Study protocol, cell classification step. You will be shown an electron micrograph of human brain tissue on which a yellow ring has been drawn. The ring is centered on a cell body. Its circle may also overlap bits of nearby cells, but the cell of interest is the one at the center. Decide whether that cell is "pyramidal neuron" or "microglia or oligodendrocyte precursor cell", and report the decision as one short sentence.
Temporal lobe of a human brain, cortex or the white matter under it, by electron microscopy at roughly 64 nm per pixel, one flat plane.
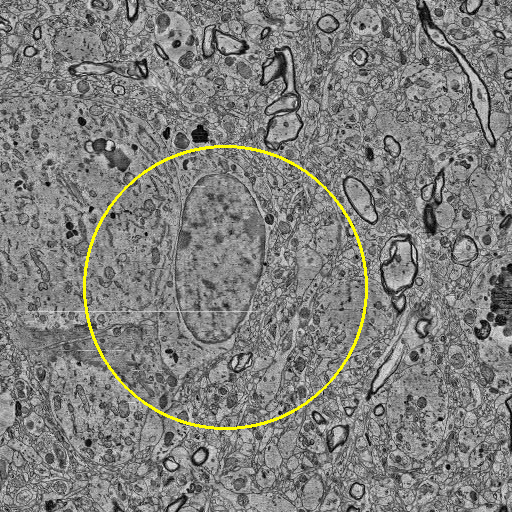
The marked cell is a microglial cell or oligodendrocyte precursor cell.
